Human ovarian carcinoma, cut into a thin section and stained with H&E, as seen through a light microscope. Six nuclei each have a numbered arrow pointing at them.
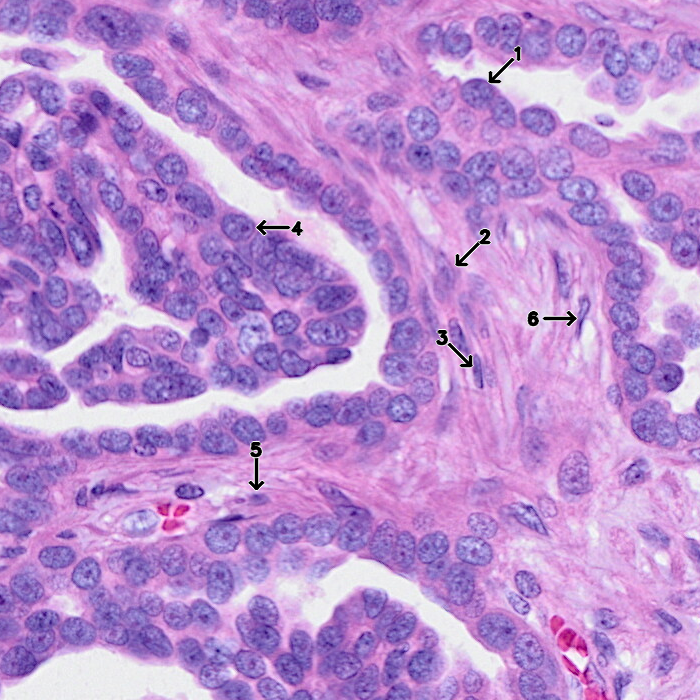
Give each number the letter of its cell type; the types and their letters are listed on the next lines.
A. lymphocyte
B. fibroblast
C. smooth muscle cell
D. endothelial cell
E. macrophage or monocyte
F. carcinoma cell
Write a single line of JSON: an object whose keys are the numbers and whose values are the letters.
{"1": "F", "2": "B", "3": "B", "4": "F", "5": "B", "6": "B"}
